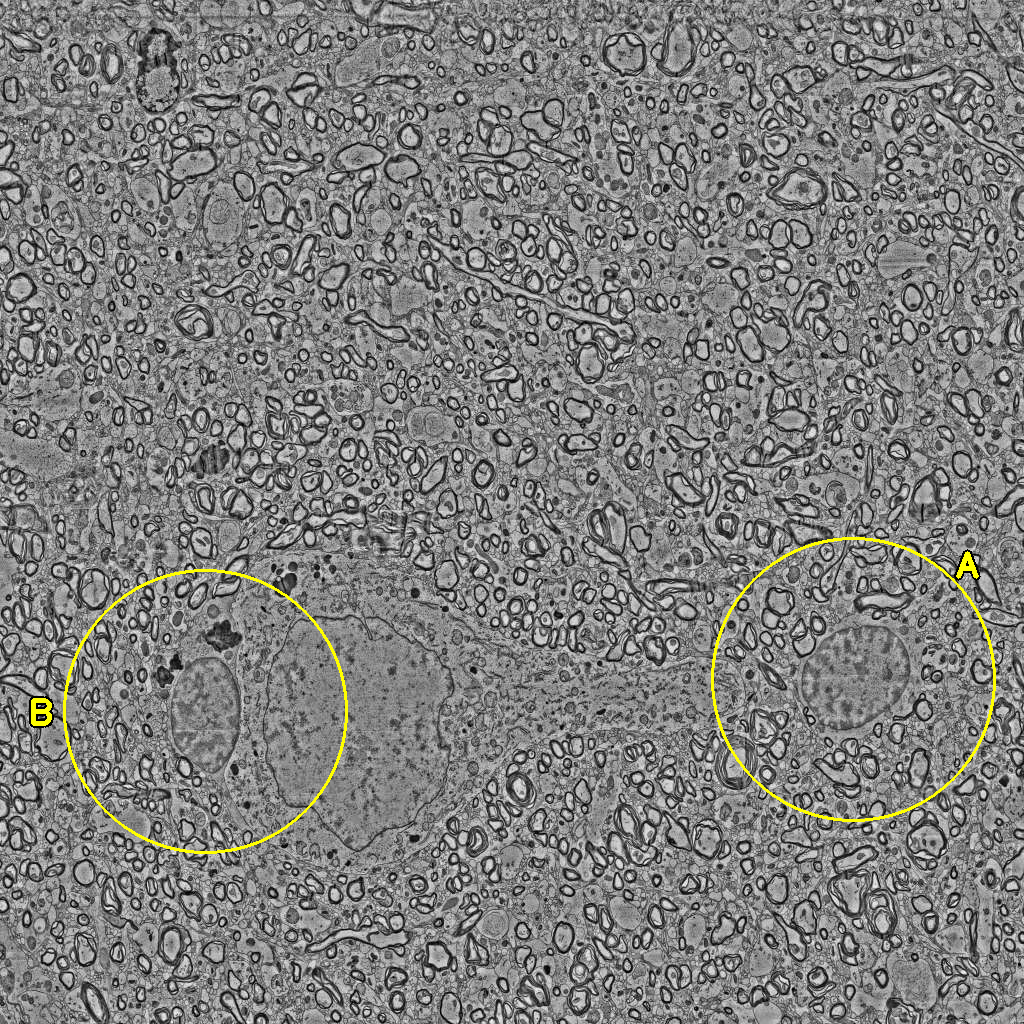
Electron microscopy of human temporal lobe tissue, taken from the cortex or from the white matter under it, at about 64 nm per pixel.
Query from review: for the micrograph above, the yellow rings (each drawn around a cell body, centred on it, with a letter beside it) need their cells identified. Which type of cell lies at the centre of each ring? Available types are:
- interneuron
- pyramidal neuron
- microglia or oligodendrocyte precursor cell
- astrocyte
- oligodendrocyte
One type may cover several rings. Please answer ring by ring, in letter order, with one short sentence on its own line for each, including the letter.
Ring A is drawn around an oligodendrocyte.
Ring B is drawn around an oligodendrocyte.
